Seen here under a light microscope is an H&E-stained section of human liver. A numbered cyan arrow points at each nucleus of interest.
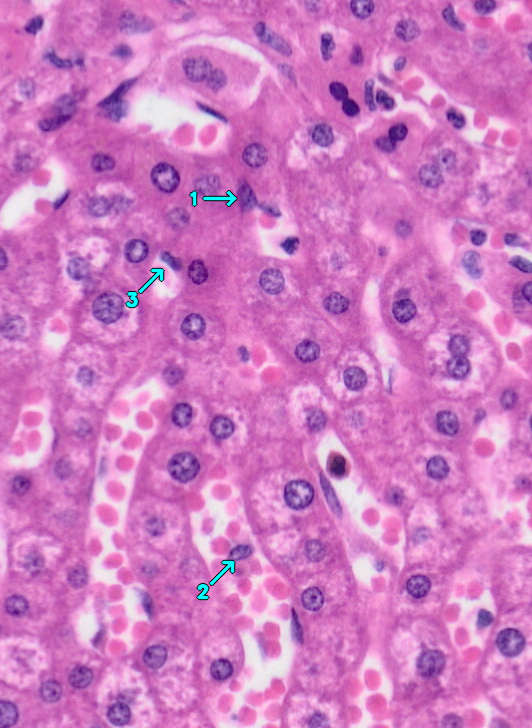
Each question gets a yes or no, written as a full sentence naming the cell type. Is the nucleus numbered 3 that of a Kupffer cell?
No, the cell at number 3 is an endothelial cell instead of a Kupffer cell.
